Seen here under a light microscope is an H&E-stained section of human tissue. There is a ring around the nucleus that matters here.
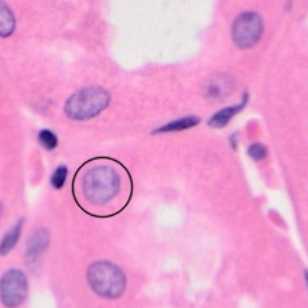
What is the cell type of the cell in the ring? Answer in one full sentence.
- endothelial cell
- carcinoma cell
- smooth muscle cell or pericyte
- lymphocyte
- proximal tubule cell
As to its cell type, the cell in the ring is a proximal tubule cell.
